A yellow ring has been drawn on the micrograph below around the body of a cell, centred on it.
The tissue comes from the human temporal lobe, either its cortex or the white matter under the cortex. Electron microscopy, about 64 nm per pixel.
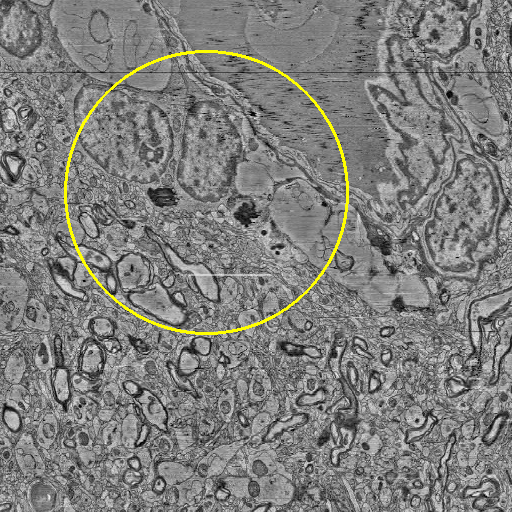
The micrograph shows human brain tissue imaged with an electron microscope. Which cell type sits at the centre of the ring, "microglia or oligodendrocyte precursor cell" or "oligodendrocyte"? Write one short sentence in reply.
The cell sitting at the centre of the ring is an oligodendrocyte.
